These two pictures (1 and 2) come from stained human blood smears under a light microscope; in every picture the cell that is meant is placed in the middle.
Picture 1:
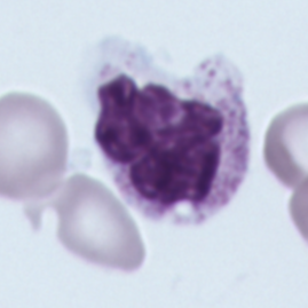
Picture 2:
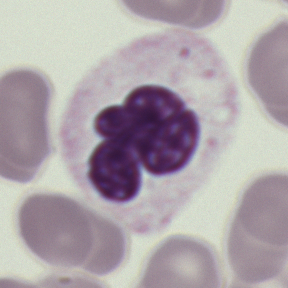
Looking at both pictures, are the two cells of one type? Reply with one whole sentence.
Yes; the cells in both pictures are segmented neutrophils.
